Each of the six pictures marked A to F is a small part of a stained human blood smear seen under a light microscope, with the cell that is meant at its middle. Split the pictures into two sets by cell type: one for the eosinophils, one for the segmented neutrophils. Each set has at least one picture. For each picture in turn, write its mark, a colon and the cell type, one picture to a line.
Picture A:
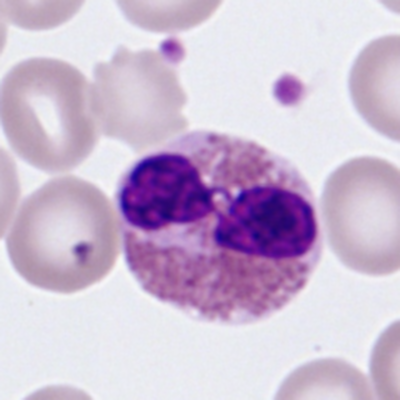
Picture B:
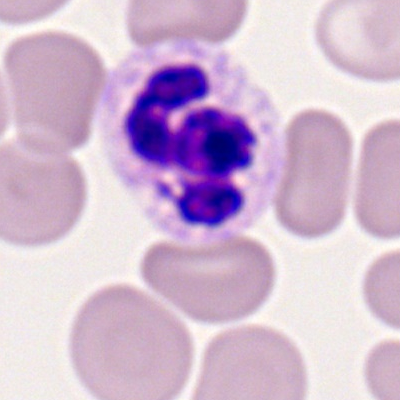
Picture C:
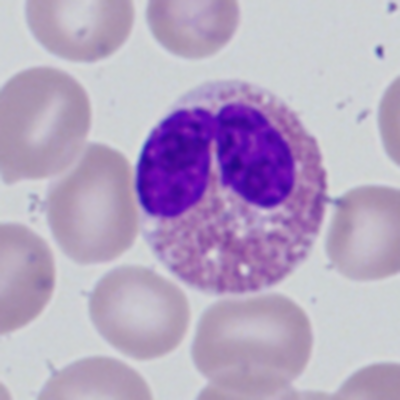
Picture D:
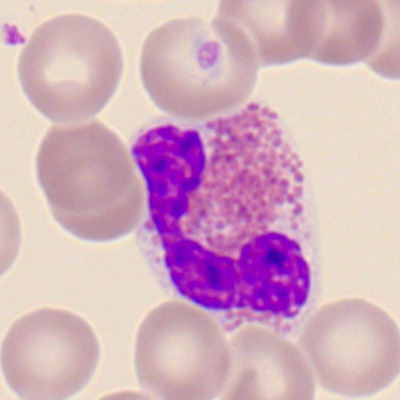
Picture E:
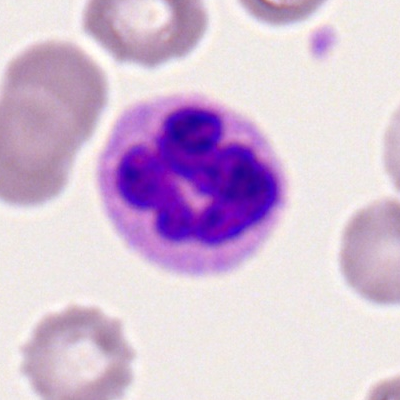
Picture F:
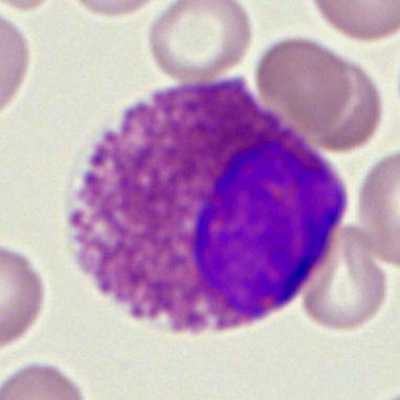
A: eosinophil
B: segmented neutrophil
C: eosinophil
D: eosinophil
E: segmented neutrophil
F: eosinophil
